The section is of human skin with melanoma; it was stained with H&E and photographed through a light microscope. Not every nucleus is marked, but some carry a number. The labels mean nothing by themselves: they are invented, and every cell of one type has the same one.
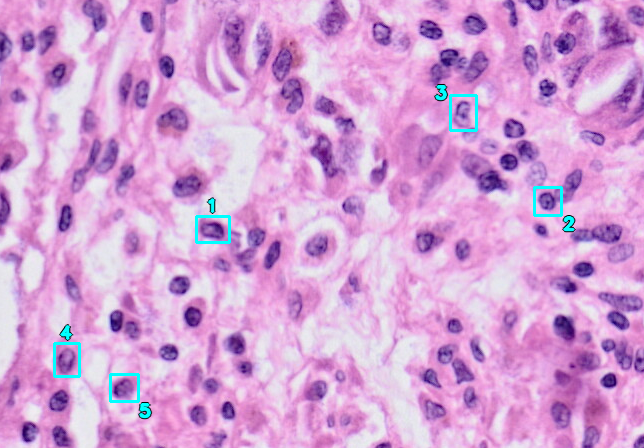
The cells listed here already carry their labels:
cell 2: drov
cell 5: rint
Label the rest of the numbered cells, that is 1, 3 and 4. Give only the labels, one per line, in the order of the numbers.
rint
drov
rint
